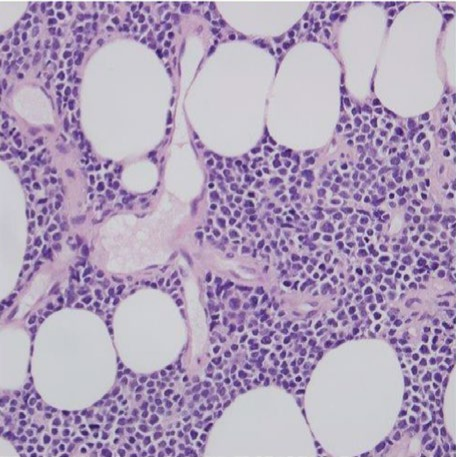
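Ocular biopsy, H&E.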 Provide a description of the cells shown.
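Densely packed small to medium round cells with dark purple nuclei and scant pale cytoplasm fill the spaces between many large round empty fat vacuoles. The cells lie in sheets, closely crowded, with little intervening stroma; a few thin-walled vessels with pink walls branch among them. The nuclei are fairly uniform, round to slightly irregular, and there is no organised tissue pattern left.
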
